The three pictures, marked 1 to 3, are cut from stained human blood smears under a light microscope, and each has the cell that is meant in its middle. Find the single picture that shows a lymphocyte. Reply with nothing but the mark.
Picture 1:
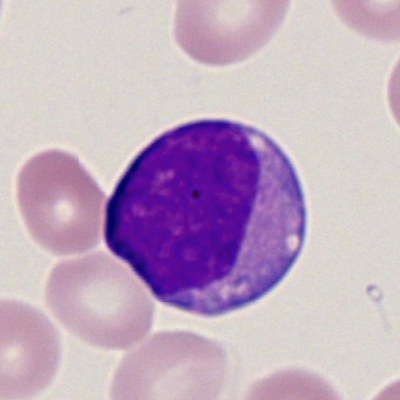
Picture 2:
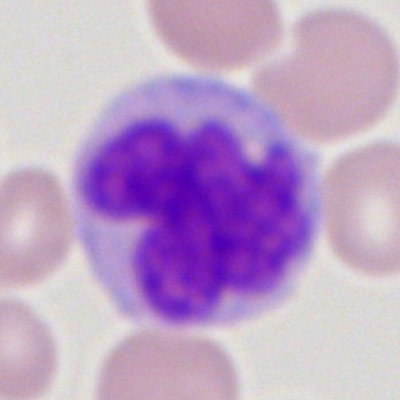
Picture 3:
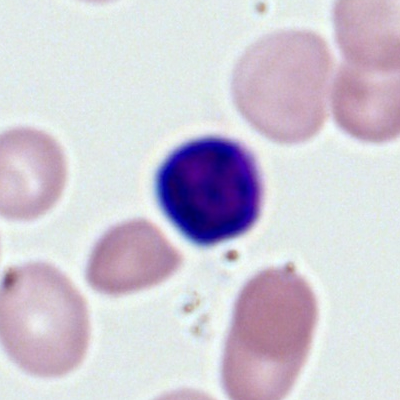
3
